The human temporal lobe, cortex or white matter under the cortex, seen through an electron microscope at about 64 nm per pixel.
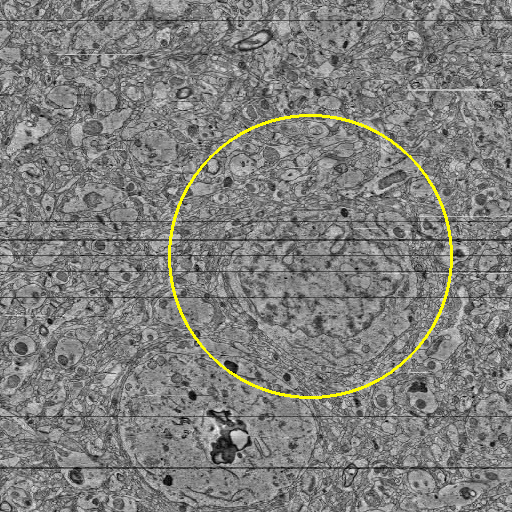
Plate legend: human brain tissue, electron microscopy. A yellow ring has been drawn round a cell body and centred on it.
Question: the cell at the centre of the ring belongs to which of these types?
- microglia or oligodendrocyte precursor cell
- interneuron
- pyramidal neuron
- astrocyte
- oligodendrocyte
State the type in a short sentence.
The cell in the middle of the ring is an interneuron.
